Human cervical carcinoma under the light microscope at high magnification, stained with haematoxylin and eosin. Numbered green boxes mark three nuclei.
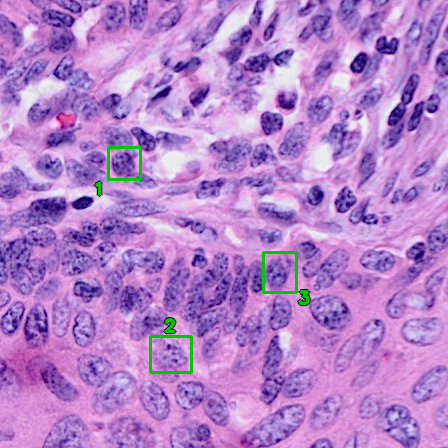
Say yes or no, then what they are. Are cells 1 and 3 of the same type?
No, cell 1 is a lymphocyte and cell 3 is a squamous carcinoma cell.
